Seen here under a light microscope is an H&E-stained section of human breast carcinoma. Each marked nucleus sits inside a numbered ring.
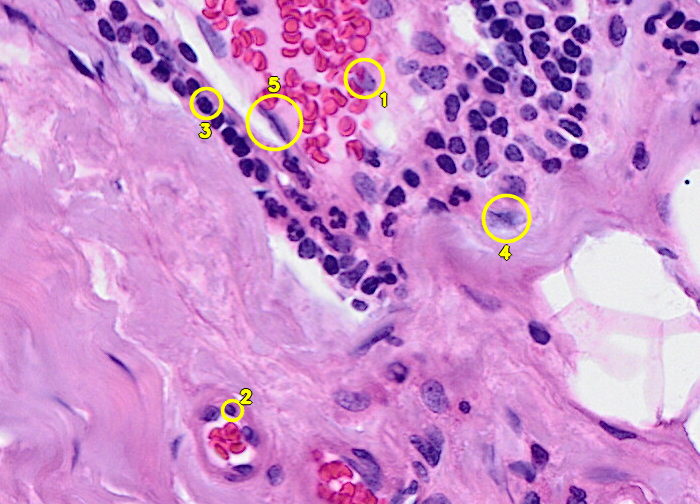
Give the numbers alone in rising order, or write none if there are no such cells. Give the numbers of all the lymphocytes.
3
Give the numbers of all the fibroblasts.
4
